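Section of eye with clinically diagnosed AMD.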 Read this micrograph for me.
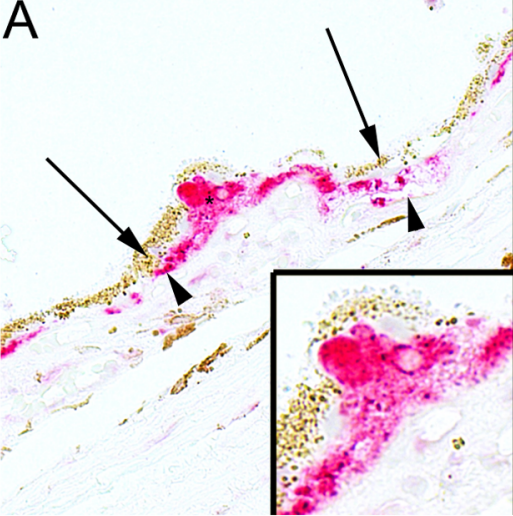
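This is the retinal pigment epithelium on Bruch's membrane, with a deposit of drusen beneath it. The epithelial layer carries many small brown-gold granules on its upper side, while bright red granular staining fills the tissue below them. A large rounded, intensely red globular mass bulges out at one point, and the inset enlarges it, showing several smooth red spheres next to granular red material. Beneath lies a thin pale band and then loose tissue with scattered brown-pigmented cells.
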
